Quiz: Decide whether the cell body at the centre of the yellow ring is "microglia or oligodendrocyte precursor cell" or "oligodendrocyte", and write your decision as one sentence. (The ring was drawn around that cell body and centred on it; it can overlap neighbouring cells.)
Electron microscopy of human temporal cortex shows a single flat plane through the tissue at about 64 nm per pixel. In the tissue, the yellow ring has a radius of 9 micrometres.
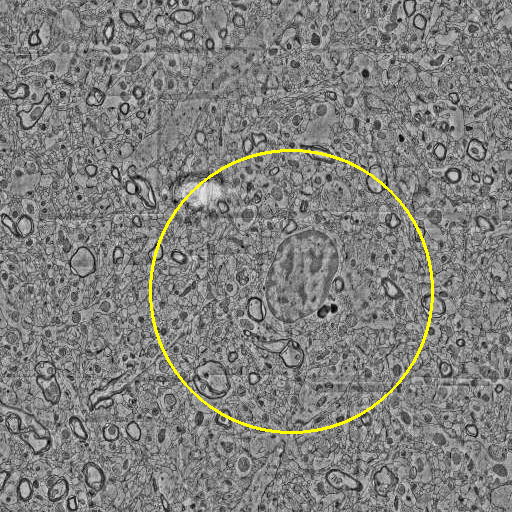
The cell the ring is centred on is a microglial cell or oligodendrocyte precursor cell.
